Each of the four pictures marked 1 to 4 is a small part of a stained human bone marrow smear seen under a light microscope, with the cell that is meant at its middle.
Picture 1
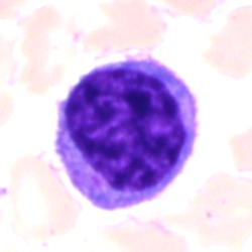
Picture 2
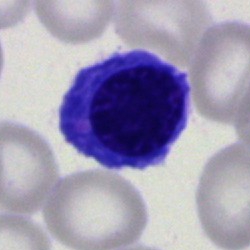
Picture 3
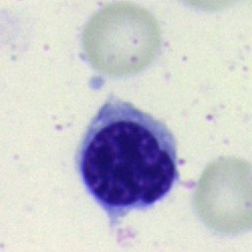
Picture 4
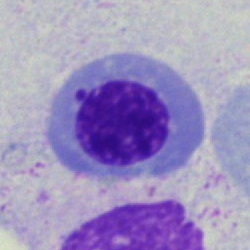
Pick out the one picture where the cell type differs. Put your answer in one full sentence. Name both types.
The others show erythroblasts, but picture 1 shows a plasma cell.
